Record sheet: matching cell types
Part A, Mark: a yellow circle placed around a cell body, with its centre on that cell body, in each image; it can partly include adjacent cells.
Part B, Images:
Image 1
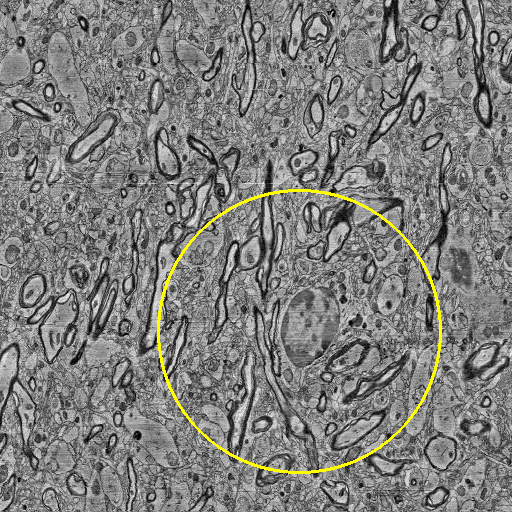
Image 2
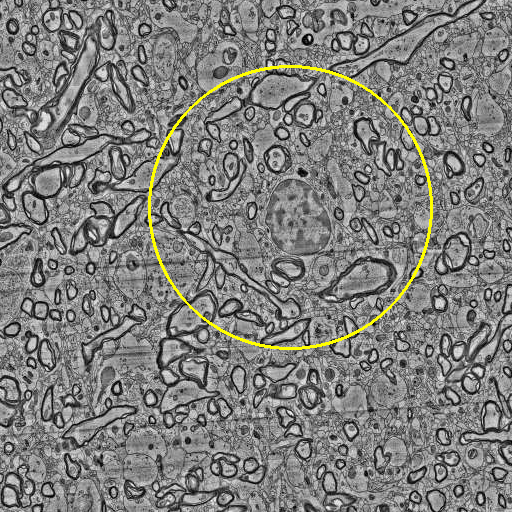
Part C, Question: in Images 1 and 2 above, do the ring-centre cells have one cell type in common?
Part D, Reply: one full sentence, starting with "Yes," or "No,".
Yes, the ring-centre cells of Image 1 and Image 2 are both of a single cell type.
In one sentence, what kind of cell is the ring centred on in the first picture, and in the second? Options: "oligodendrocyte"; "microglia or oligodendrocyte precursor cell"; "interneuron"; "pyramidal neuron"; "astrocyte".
The cell at the ring centre is a microglial cell or oligodendrocyte precursor cell in both pictures.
